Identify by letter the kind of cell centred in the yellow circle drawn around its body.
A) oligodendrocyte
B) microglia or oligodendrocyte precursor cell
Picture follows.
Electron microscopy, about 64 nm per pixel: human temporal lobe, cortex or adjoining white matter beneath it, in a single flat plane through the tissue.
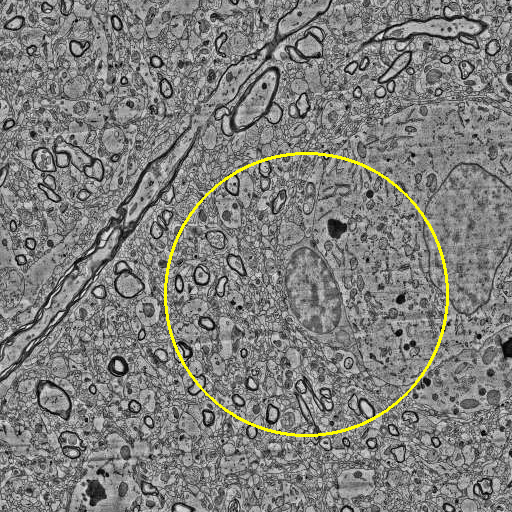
A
